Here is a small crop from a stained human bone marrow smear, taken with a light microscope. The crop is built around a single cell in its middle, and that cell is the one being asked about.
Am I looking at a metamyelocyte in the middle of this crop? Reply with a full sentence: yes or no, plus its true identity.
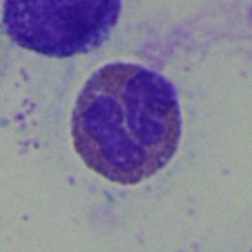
No, in this crop the middle cell is an eosinophil, not a metamyelocyte.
